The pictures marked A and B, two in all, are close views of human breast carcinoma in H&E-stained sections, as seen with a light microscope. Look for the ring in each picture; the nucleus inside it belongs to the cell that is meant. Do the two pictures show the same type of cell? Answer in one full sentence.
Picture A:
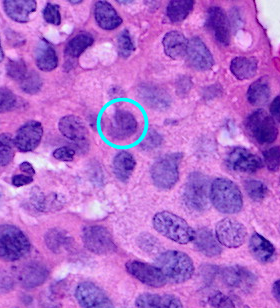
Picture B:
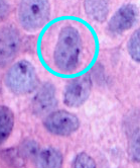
Yes, they are the same type: both are carcinoma cells.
